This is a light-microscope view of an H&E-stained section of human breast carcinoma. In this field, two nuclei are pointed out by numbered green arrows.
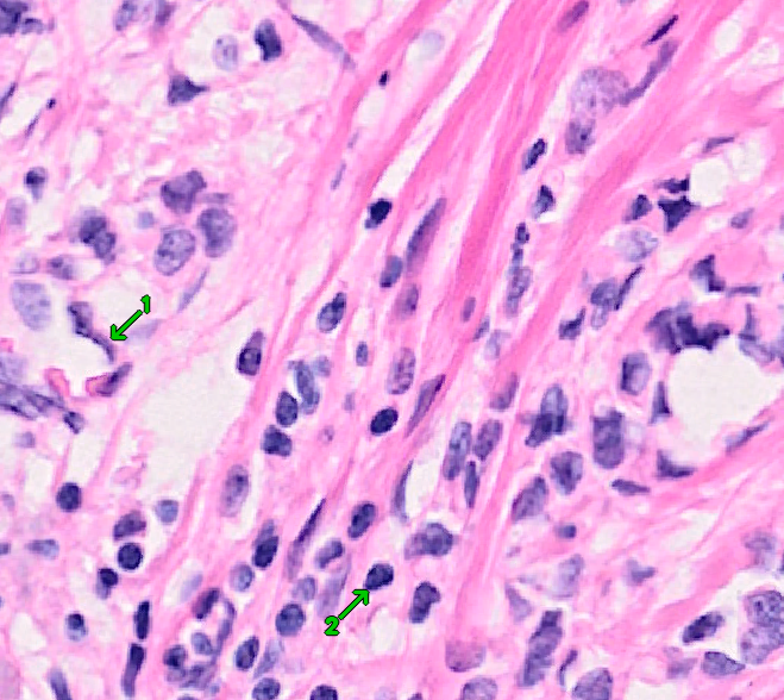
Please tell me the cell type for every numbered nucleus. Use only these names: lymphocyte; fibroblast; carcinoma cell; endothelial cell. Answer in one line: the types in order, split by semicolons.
endothelial cell; lymphocyte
